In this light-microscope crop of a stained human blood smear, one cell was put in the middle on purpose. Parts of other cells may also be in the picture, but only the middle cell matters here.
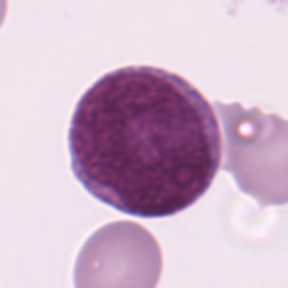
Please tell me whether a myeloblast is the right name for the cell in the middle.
yes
